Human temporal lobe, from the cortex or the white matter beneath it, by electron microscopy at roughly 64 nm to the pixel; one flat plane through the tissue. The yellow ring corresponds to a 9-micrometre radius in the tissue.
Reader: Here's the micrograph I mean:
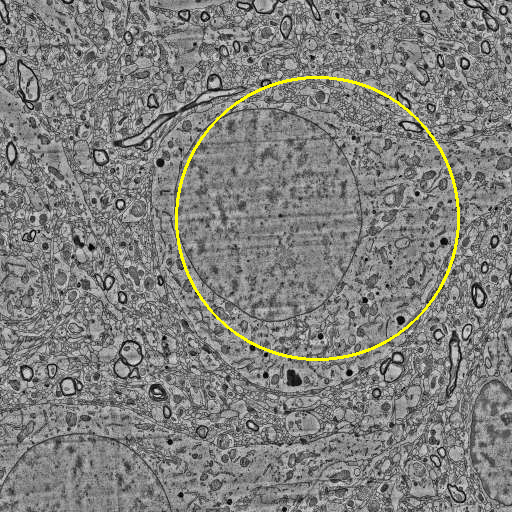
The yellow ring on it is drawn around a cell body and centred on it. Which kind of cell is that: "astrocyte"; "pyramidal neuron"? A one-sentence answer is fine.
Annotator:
The ring is centred on a pyramidal neuron.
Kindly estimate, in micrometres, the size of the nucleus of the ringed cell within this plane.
Approximately 14 x 12 micrometres in this plane.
